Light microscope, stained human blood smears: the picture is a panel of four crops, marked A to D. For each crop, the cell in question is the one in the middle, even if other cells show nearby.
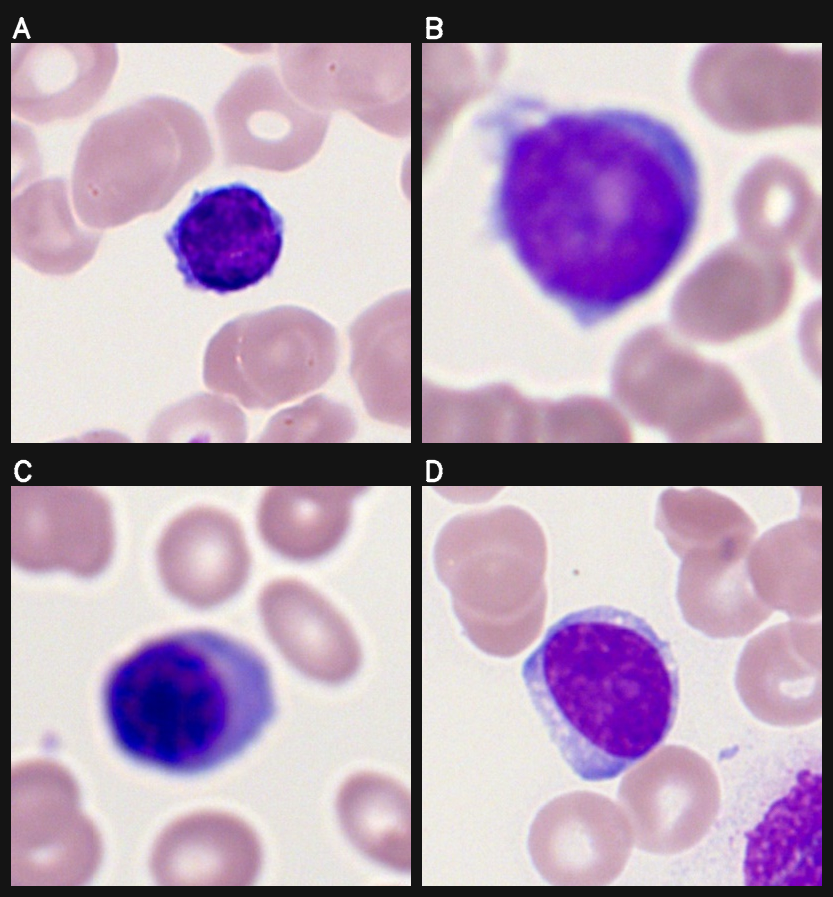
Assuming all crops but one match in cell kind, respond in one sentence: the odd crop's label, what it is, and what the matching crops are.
For this set, crop B is a myeloblast, and all the rest are lymphocytes.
